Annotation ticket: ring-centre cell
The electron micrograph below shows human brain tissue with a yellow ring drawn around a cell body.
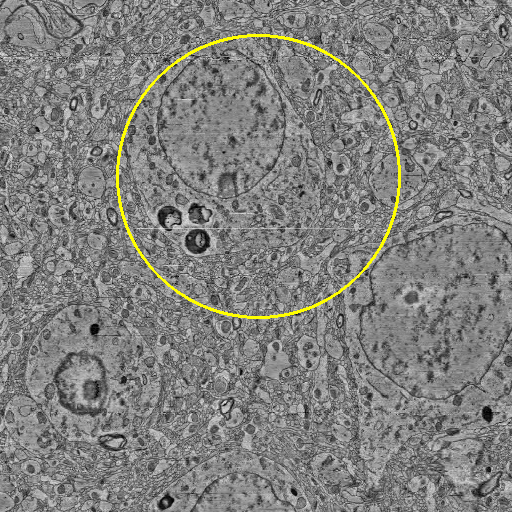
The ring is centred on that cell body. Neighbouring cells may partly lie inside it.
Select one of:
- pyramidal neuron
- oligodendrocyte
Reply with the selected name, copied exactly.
pyramidal neuron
